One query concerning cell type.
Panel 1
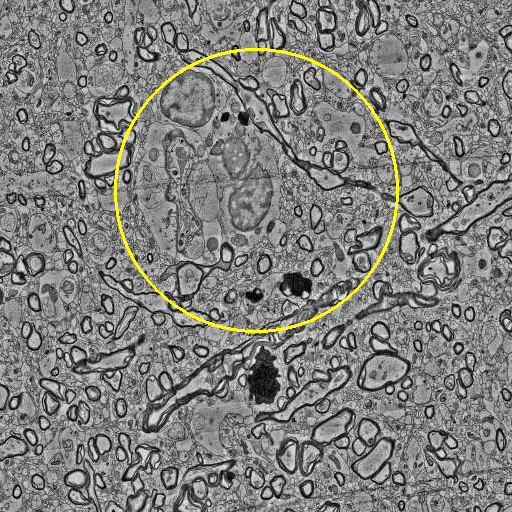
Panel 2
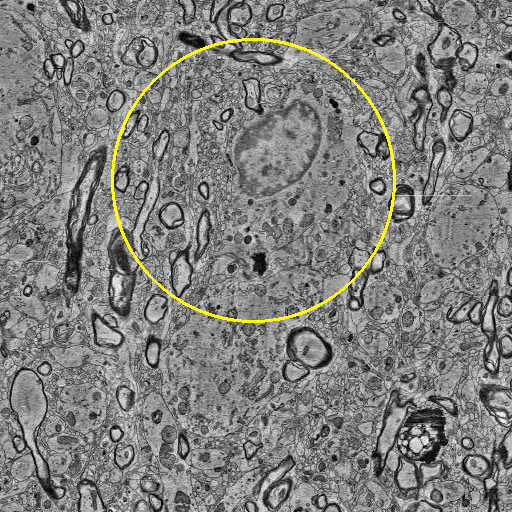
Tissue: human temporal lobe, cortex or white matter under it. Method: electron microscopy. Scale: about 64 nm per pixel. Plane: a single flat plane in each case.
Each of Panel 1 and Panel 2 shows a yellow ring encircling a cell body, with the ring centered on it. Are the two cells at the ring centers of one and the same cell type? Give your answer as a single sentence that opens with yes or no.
Yes, the cell centered in Panel 1 and the one in Panel 2 share a type.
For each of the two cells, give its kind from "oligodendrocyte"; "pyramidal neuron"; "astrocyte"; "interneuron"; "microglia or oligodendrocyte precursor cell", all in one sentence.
Each one of the two ringed cells is an oligodendrocyte.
